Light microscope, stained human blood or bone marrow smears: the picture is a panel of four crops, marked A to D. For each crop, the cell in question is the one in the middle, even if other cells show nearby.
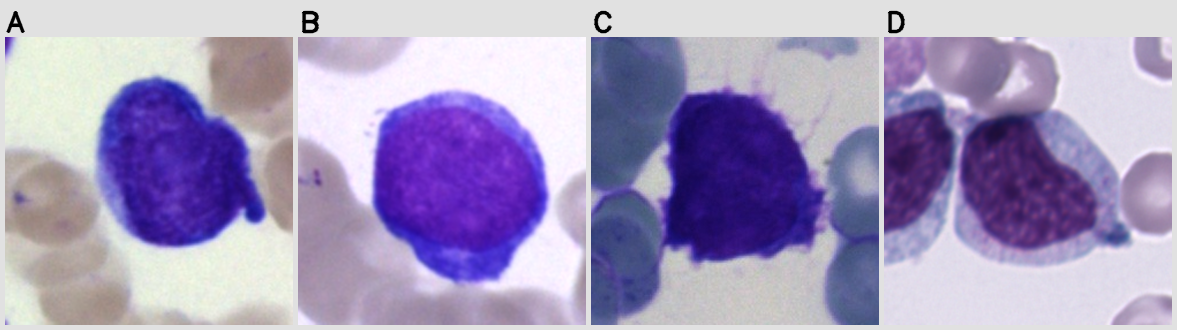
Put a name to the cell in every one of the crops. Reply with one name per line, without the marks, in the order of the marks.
blast
blast
blast
promyelocyte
